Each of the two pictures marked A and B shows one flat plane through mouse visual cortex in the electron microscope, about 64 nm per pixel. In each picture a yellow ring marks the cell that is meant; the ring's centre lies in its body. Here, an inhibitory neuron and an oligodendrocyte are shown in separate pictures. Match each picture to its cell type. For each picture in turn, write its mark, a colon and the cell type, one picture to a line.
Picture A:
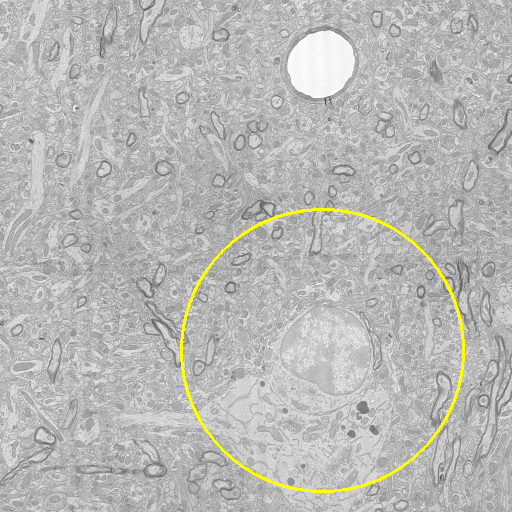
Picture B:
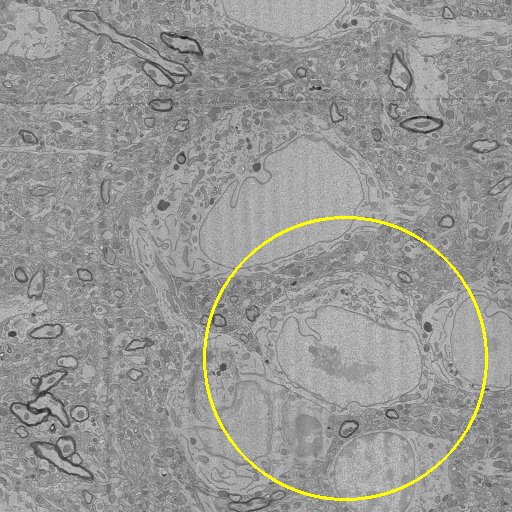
A: oligodendrocyte
B: inhibitory neuron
